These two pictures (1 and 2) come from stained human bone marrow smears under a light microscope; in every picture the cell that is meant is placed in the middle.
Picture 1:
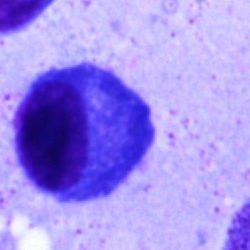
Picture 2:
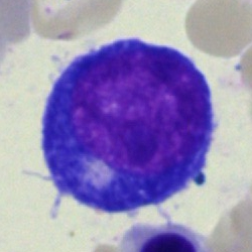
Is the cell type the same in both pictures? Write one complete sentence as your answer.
No, picture 1 shows a plasma cell and picture 2 shows a proerythroblast.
